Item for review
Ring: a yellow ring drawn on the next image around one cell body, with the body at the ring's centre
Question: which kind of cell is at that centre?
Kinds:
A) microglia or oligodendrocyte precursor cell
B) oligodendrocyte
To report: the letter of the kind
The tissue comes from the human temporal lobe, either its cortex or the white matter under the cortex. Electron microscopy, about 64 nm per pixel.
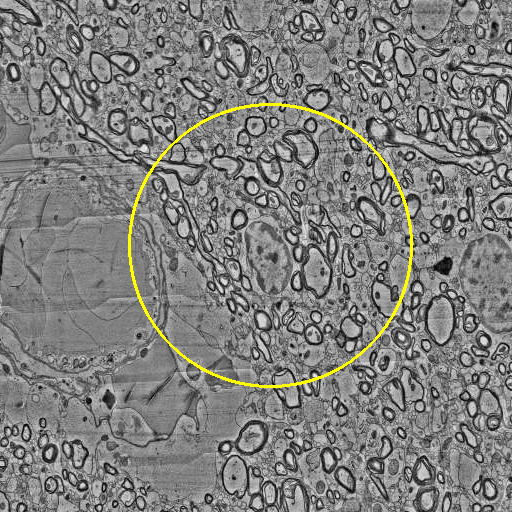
A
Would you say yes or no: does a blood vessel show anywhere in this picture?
Yes, the image shows a blood vessel.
